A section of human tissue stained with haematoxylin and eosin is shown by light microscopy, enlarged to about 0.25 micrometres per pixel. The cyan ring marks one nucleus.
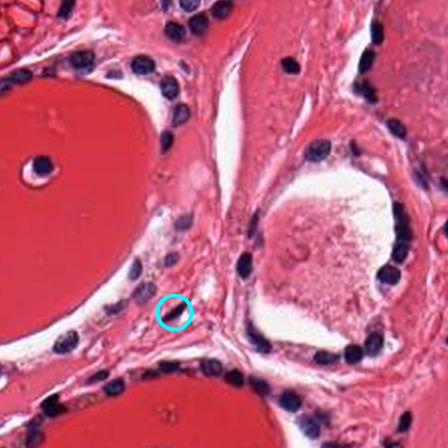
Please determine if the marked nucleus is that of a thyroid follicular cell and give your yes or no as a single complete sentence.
No, the marked nucleus is contained in a supporting cell and not in a thyroid follicular cell.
